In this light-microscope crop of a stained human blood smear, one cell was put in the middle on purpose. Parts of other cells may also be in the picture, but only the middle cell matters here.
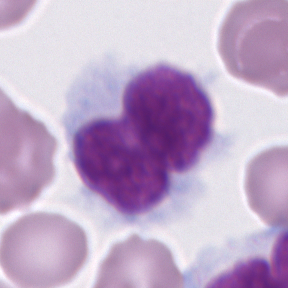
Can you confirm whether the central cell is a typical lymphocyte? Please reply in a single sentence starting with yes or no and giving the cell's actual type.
No, the cell placed at the center is a hairy cell rather than a typical lymphocyte.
